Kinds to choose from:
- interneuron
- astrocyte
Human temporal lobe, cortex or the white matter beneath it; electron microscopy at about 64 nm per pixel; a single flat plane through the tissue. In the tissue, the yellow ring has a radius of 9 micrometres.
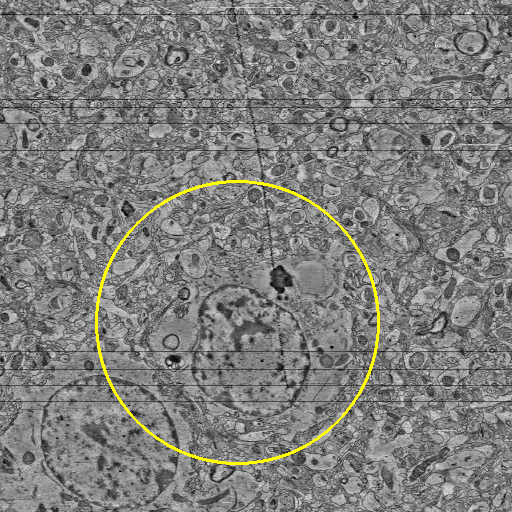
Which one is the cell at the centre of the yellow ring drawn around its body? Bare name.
astrocyte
